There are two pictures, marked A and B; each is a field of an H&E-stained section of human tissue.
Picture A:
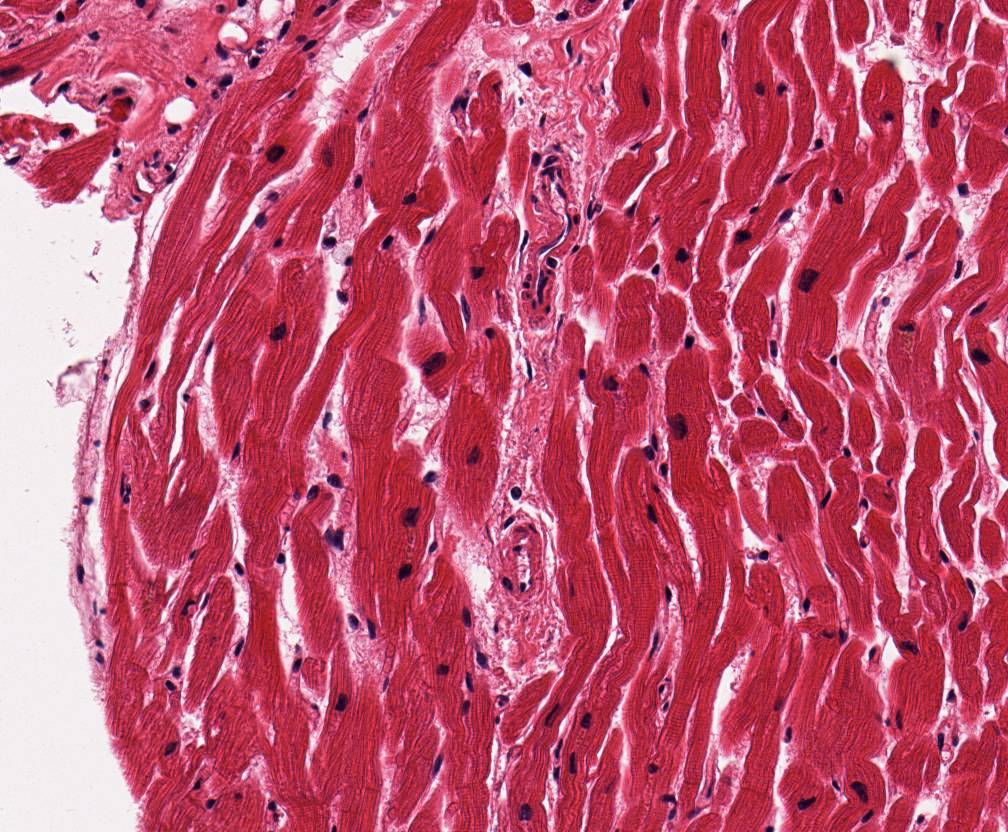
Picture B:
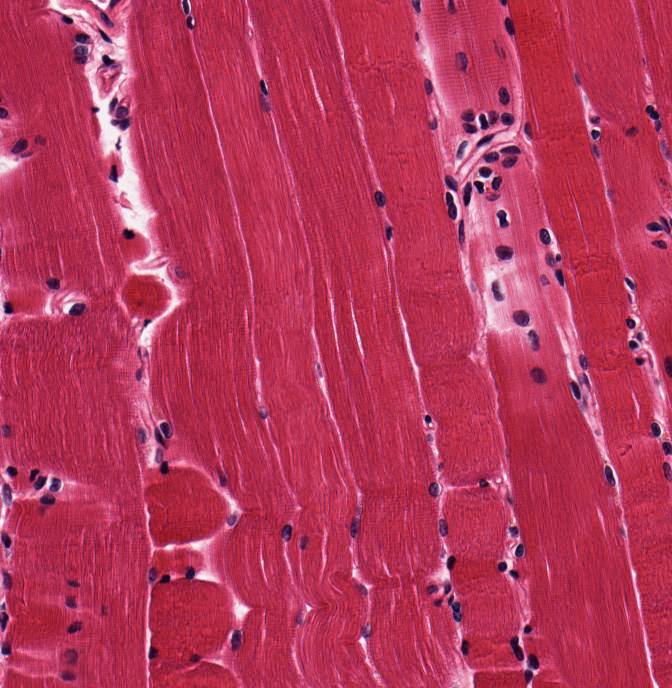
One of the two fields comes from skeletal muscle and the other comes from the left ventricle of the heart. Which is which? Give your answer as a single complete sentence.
It is picture A that comes from the left ventricle of the heart, and picture B that comes from skeletal muscle.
